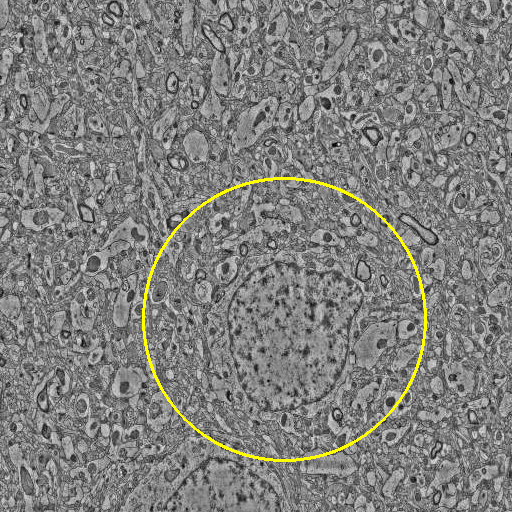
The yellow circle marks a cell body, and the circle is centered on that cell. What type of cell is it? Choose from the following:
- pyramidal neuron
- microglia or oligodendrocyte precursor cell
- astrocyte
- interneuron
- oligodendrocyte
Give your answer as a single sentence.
This cell body belongs to an interneuron.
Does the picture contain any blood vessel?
No, no blood vessel shows in the picture.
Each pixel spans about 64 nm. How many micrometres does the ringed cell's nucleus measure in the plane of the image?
The ringed cell's nucleus measures approximately 10 by 9 micrometres in this plane.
